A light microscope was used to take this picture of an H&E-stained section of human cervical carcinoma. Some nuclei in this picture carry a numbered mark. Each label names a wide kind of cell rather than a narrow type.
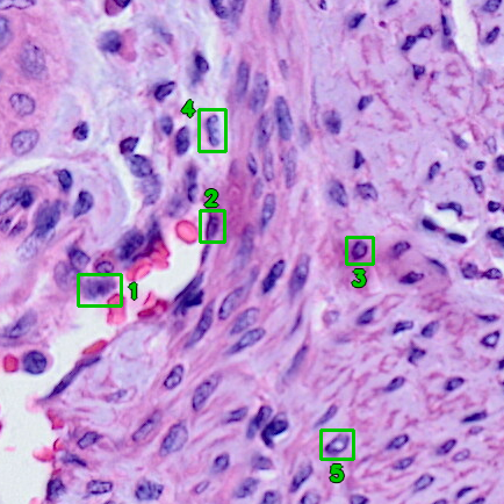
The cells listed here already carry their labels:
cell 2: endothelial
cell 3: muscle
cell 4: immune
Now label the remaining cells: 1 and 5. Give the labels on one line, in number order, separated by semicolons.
endothelial; muscle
